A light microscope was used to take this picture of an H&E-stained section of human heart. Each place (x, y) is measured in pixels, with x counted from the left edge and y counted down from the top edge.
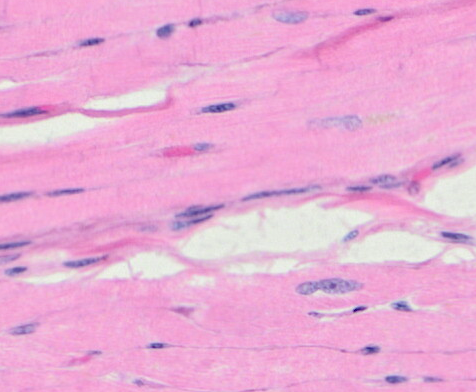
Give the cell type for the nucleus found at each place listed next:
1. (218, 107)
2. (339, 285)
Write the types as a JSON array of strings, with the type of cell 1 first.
["endothelial cell", "cardiomyocyte"]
